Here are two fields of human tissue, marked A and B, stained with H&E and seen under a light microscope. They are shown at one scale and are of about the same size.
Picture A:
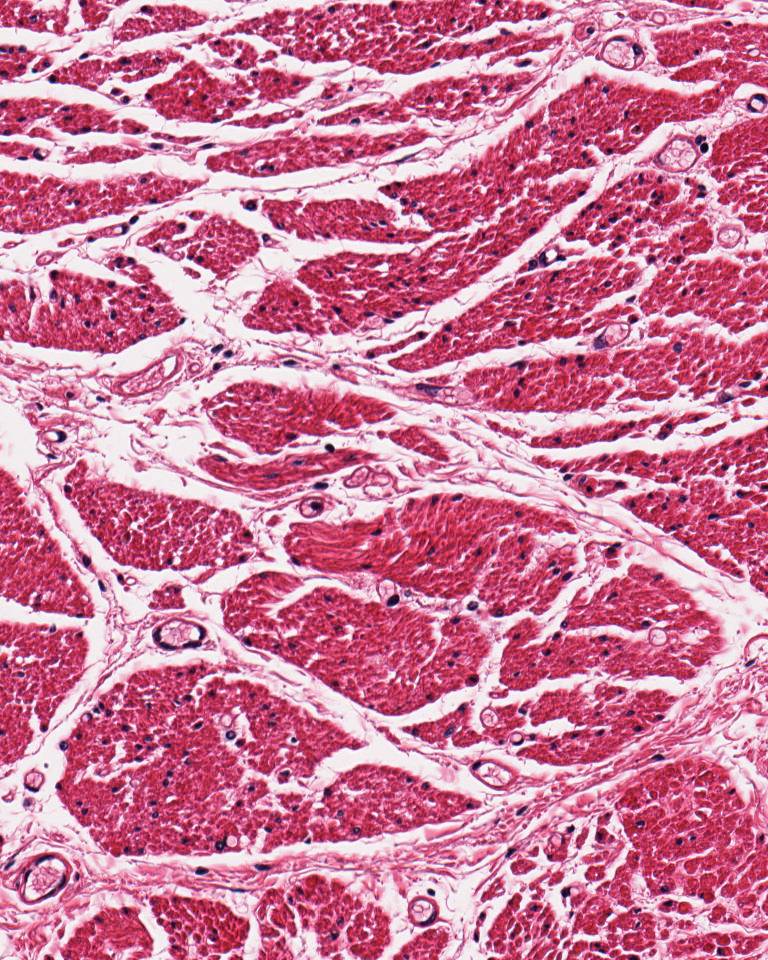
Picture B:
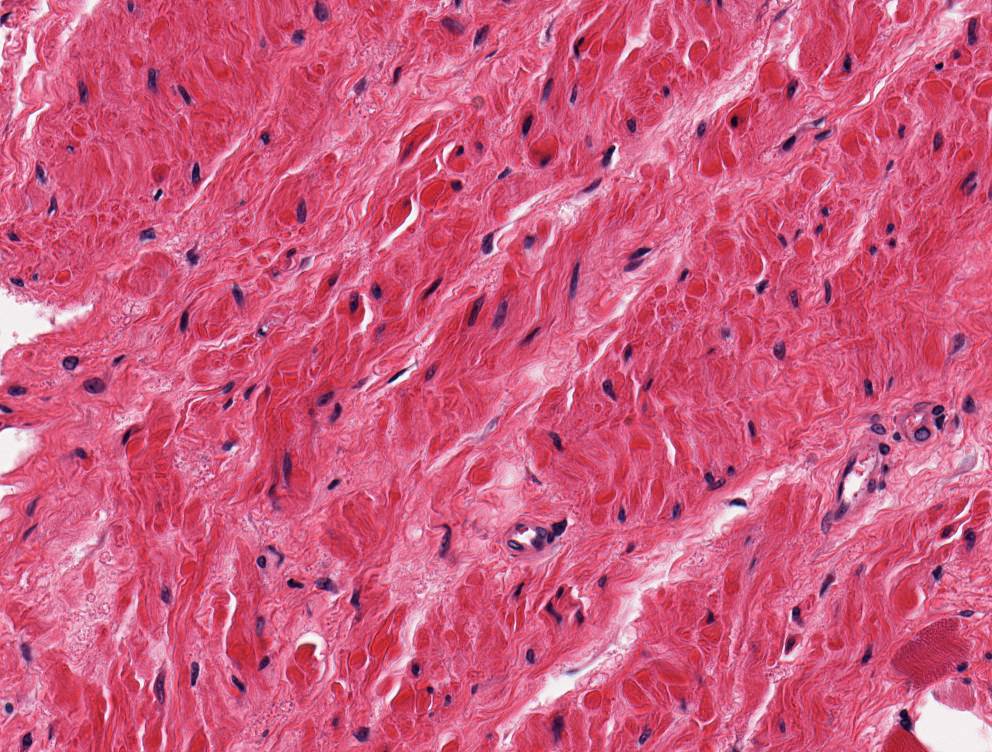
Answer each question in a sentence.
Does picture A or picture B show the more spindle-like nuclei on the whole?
It is picture B whose nuclei are the more elongated.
